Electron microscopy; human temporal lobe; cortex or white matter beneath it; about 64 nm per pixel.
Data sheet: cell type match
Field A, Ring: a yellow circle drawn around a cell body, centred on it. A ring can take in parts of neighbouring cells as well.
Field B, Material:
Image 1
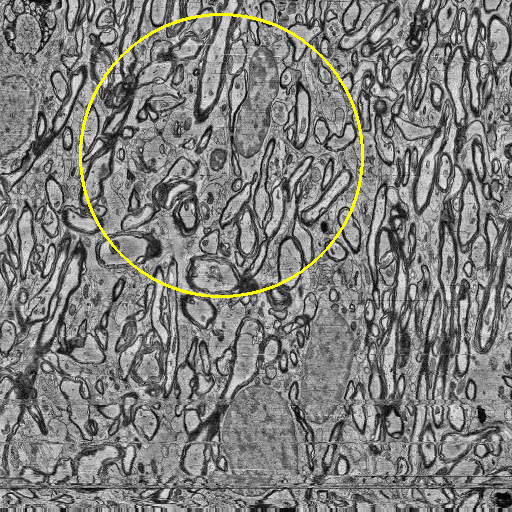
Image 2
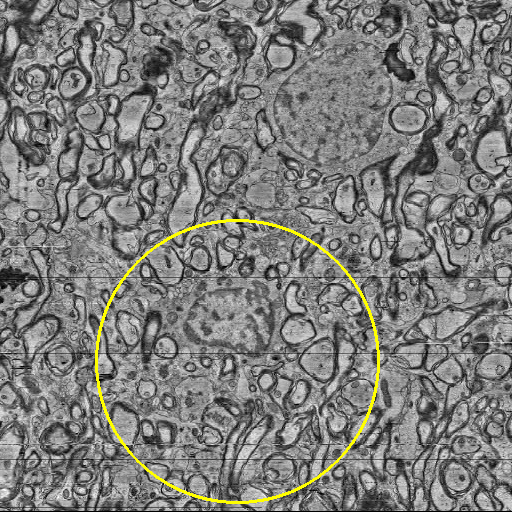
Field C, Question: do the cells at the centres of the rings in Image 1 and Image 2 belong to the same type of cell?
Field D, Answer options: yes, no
no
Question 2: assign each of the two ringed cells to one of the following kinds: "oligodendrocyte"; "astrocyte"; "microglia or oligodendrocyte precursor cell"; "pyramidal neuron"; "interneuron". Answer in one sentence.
The two cells are a microglial cell or oligodendrocyte precursor cell in the first picture and an oligodendrocyte in the second.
